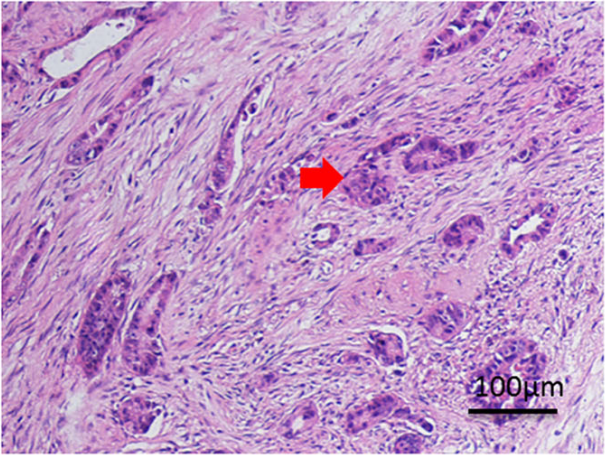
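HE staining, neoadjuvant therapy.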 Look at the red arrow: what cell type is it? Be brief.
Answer: Residual tumor cells.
